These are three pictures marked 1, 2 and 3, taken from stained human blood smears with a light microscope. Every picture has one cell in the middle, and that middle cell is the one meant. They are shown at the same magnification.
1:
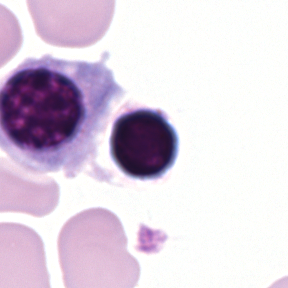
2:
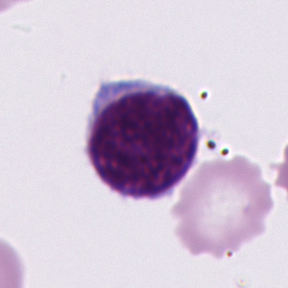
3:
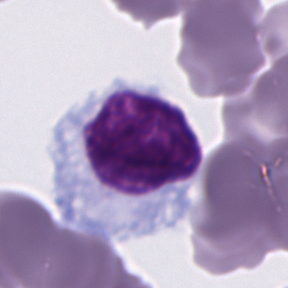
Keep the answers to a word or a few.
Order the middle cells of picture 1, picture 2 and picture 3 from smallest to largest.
1, 2, 3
